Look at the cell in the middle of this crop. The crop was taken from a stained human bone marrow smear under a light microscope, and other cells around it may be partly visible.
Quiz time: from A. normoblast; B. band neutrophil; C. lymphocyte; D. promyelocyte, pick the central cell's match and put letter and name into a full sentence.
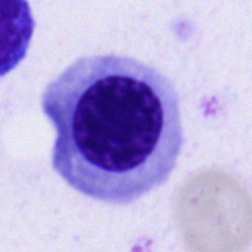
That cell in the center is a normoblast, hence option A.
